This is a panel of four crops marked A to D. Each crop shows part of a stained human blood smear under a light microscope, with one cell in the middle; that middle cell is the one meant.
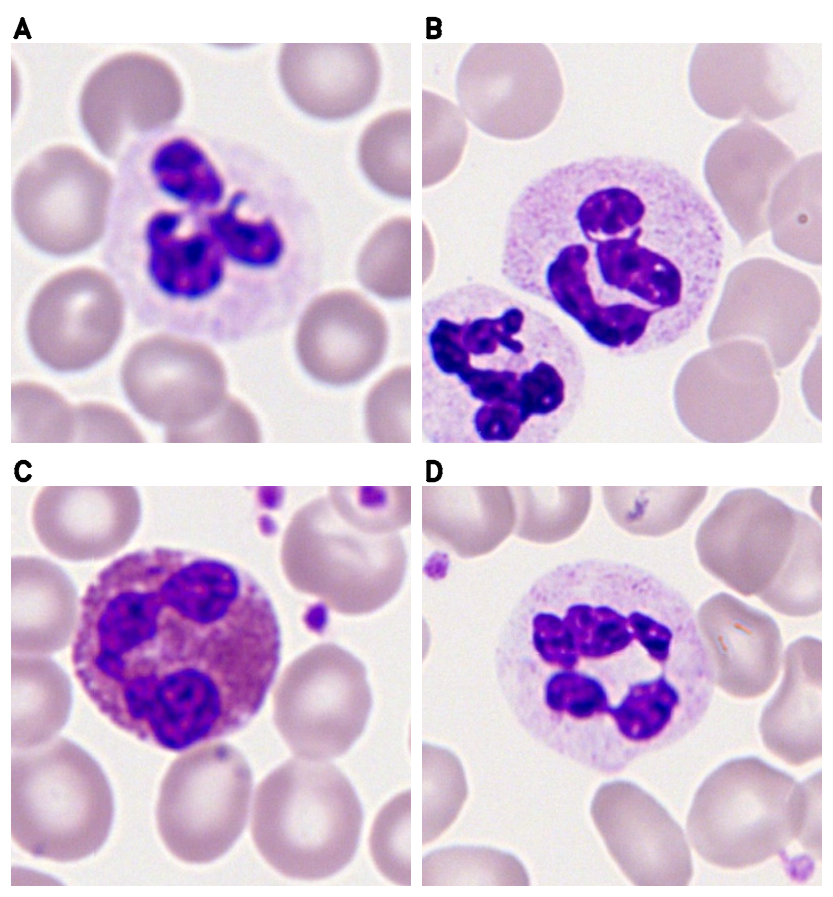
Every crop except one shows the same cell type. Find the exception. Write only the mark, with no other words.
C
